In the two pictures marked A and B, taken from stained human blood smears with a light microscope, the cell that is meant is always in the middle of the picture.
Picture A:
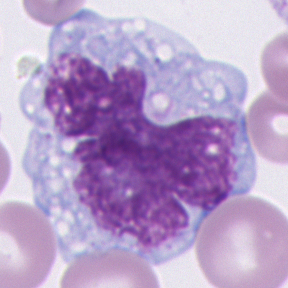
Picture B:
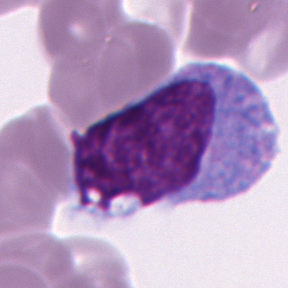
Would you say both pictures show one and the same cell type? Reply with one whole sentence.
Yes, they are the same type: both are monocytes.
